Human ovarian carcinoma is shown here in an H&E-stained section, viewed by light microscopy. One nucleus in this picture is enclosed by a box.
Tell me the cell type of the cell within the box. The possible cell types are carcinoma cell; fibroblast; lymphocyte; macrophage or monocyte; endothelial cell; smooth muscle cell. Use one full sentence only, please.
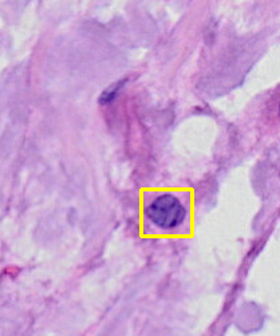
Microscopically, the cell within the box is categorized as a macrophage or monocyte.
